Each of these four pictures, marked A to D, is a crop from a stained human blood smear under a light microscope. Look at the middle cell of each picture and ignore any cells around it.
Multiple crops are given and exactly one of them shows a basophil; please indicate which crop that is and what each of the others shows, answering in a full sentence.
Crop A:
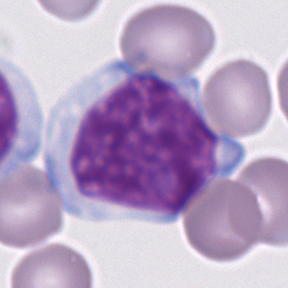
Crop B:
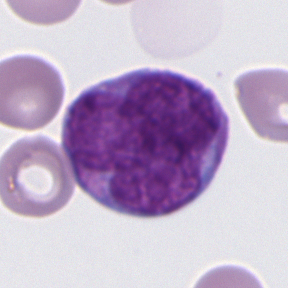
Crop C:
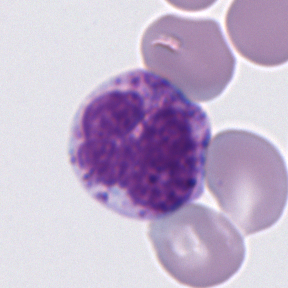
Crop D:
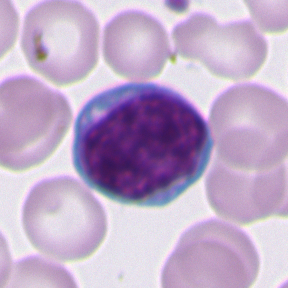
Seen in crop C is a basophil, while crop A is a myeloblast, crop B is an atypical promyelocyte and crop D is a typical lymphocyte.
